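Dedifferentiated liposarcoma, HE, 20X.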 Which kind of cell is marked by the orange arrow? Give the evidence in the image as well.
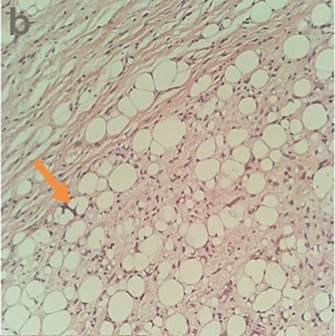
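The arrow points to a cell with a small dark hyperchromatic nucleus. The marked cell lies among clear fat vacuoles of varying size. Clear vacuoles press against the marked nucleus. On this evidence: Lipoblasts.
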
